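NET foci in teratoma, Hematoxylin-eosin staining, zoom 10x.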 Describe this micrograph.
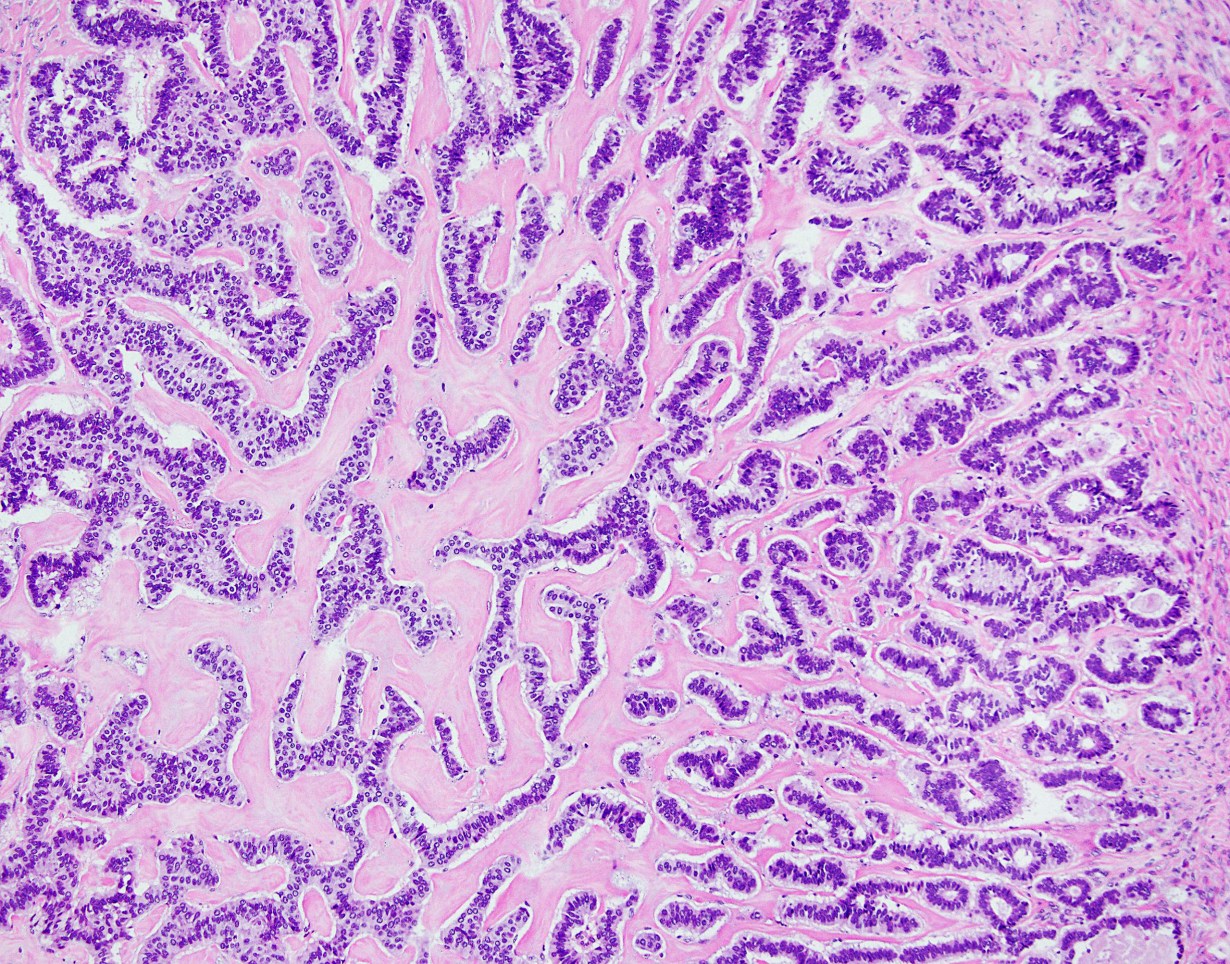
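This is tumour tissue in which epithelial cells are arranged in long, parallel and branching ribbons, with small islands and nests of cells. Toward the right, the ribbons break up into smaller rounded nests, some with small central spaces. At the far right edge there is a more cellular spindle-cell stroma.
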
